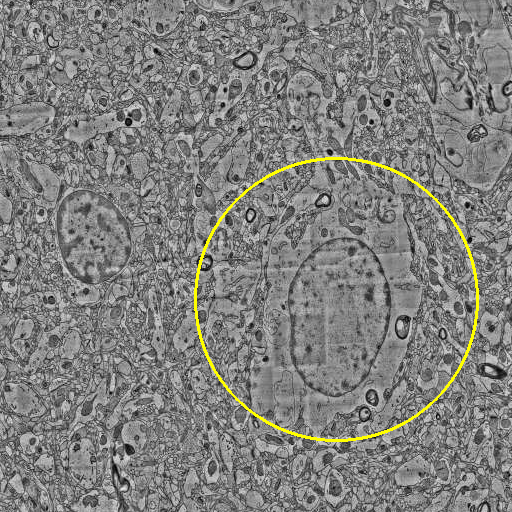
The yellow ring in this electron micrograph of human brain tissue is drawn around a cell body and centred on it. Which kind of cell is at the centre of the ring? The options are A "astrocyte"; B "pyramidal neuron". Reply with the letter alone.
A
